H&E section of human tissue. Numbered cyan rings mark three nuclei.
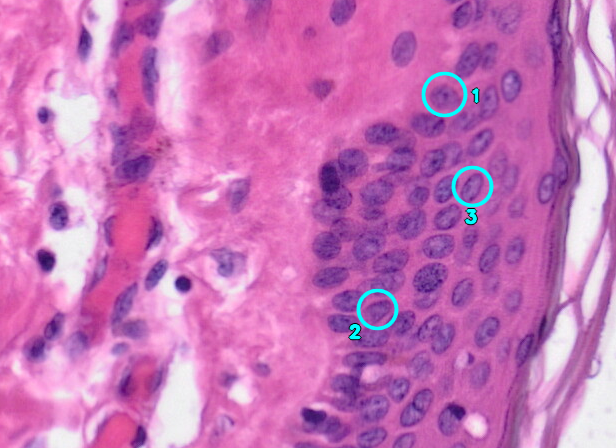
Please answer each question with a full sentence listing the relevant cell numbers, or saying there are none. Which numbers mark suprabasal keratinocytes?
The numbered cell that is a suprabasal keratinocyte is cell 3, and it is the only one.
